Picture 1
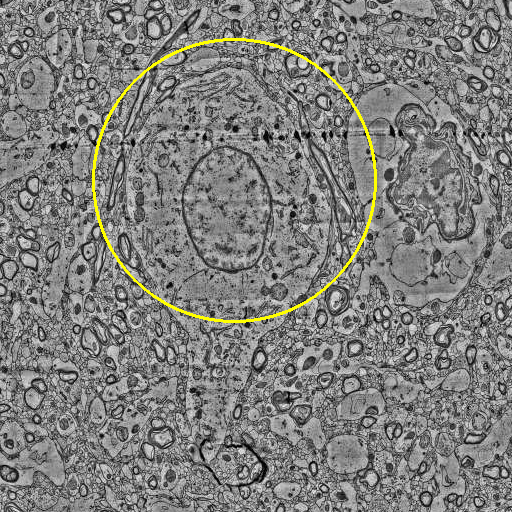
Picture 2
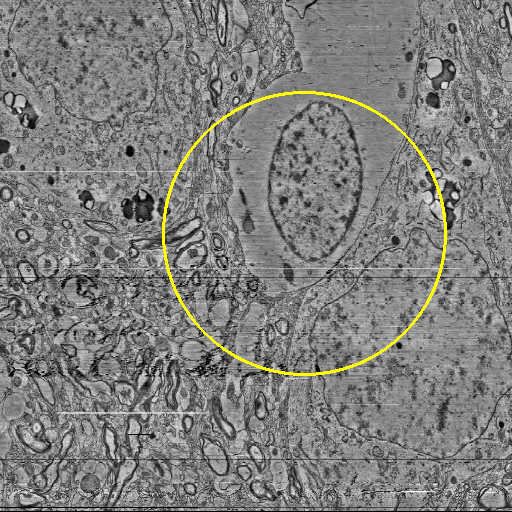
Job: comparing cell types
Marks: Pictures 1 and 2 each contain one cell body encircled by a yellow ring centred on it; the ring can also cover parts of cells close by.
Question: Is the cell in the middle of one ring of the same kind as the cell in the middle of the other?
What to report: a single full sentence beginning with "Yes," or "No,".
No, the cell at the ring centre in Picture 1 and its partner in Picture 2 are of two kinds.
